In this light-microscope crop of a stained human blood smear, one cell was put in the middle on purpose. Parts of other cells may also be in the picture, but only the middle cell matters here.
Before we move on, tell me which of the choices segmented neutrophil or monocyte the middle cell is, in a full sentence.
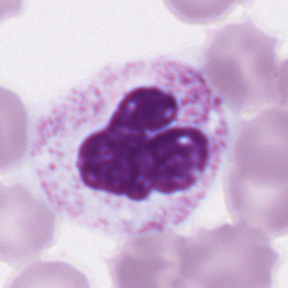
Seen at the centre of the crop is a segmented neutrophil.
